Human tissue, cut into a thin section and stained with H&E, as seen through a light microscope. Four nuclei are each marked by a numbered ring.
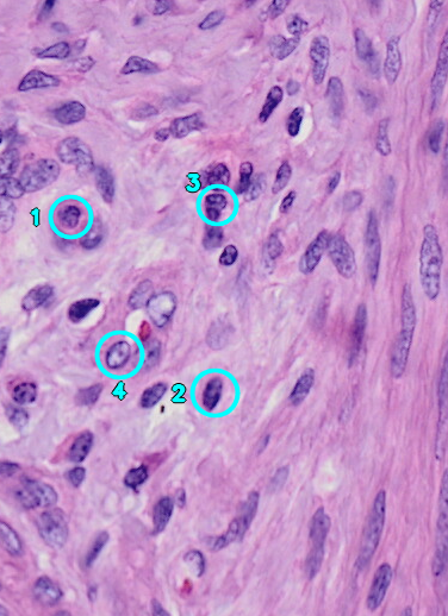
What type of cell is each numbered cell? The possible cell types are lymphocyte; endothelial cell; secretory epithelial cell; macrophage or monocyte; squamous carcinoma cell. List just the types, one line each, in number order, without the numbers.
endothelial cell
lymphocyte
lymphocyte
endothelial cell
